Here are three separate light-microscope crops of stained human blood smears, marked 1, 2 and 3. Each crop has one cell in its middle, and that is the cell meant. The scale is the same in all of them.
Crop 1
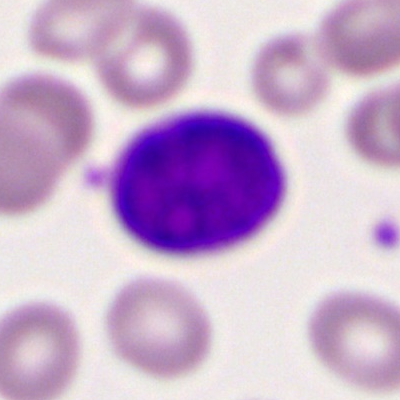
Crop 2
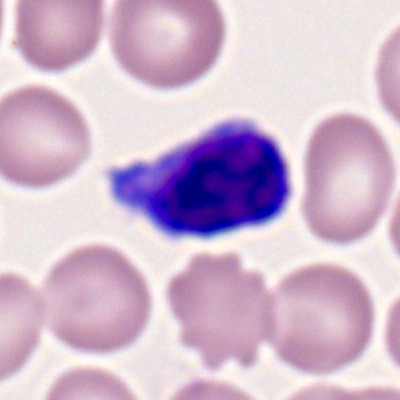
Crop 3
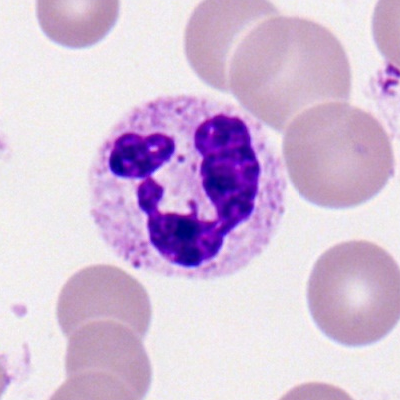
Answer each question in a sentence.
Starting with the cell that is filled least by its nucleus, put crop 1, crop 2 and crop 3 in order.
From the least filled to the most, the order is 3, 2, 1.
